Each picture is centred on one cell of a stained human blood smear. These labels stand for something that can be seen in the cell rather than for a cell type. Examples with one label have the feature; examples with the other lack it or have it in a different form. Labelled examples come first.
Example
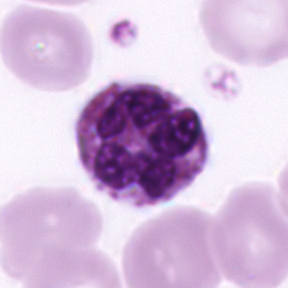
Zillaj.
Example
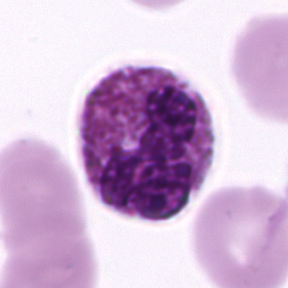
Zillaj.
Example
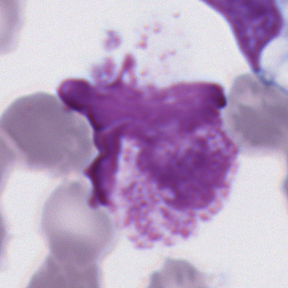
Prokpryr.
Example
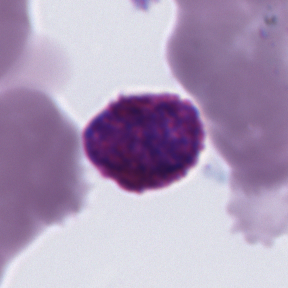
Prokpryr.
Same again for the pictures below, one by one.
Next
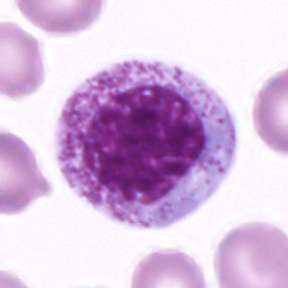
Zillaj.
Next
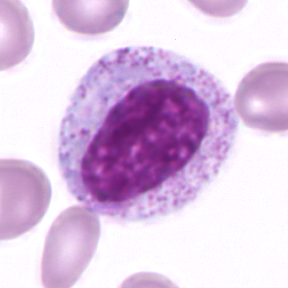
Zillaj.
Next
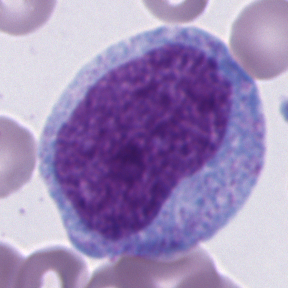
Zillaj.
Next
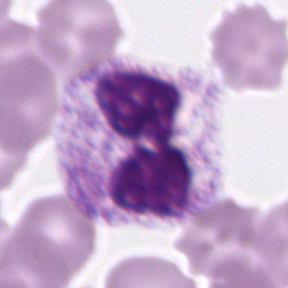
Prokpryr.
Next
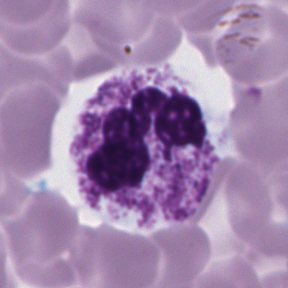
Prokpryr.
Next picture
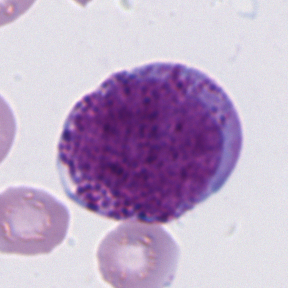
Prokpryr.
